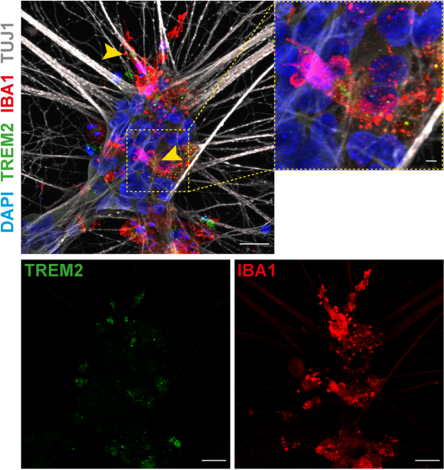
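Here microglia sit within a neuronal culture. Thick grey bundles of neuronal fibres radiate from a central cluster of many round blue nuclei, the gathered neuron cell bodies. Among and on top of this cluster lie red cells, the microglia, with patchy, granular red cytoplasm and irregular shapes, some crowded together. The enlarged view shows a red cell beside several large blue nuclei, its cytoplasm dotted with red granules and small green specks. In the single-colour images below, the green is a fine, punctate scatter, while the red outlines clumped, irregular cells gathered around the cluster.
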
